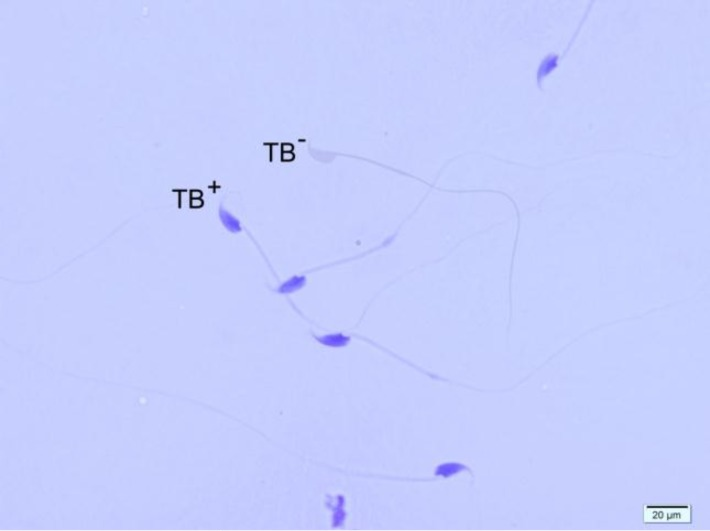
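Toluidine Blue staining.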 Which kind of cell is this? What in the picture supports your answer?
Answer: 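Tails many times longer than the heads. Cells lie scattered singly on a plain background. That points to this answer: spermatozoa.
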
